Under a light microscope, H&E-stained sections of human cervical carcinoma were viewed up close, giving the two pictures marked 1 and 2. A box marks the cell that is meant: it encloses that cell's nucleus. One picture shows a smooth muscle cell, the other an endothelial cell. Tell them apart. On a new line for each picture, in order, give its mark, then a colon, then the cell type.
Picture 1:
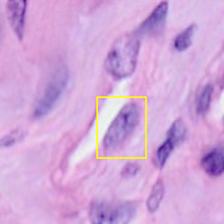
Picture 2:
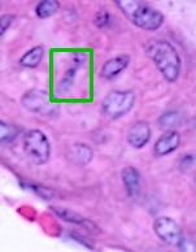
1: endothelial cell
2: smooth muscle cell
